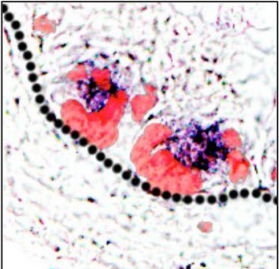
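Two rounded clusters stand out, each made of several cells whose nuclei are stained red. In the middle of each cluster lies a dark purple, granular deposit, so that the red nuclei ring or overlap the purple staining. Both clusters rest directly against the dotted line that marks the boundary. The tissue around them is pale and only faintly textured, with a few scattered red nuclei elsewhere.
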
